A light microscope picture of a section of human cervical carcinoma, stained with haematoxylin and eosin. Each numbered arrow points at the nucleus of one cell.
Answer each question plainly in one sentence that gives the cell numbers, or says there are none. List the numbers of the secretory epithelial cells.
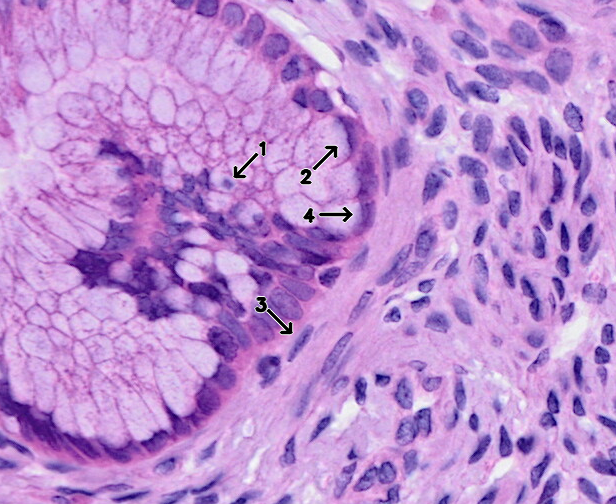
The cells identified by the numbers 1, 2 and 4 are secretory epithelial cells.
